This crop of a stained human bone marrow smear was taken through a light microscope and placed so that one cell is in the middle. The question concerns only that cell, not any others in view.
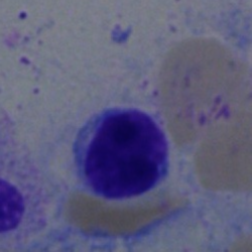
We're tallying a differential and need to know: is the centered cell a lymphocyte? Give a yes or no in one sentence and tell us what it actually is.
Yes, the central cell here is a lymphocyte.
